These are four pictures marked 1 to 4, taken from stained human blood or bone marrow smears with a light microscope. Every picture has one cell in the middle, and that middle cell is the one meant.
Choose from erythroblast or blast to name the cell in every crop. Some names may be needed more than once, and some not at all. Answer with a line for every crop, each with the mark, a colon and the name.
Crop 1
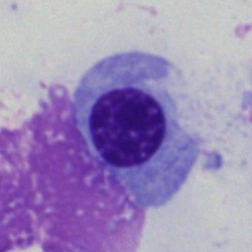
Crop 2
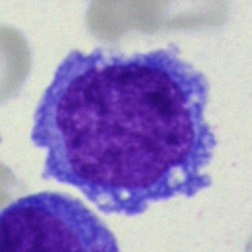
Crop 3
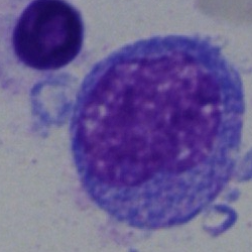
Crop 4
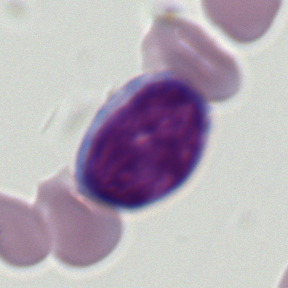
1: erythroblast
2: blast
3: blast
4: blast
